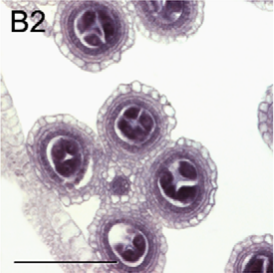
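This is a transverse section through an anther showing four locules around a central connective with a small vascular strand. Each locule is bounded by a wall of several cell layers and is filled with a compact mass of pollen mother cells that are stained dark purple, pressed together and separated by narrow clefts in the centre. The inner wall layers beside them are also tinged purple, while the outer epidermal cells of the anther and the surrounding floral tissue at the edges are pale. The dark staining is concentrated in the locule contents.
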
